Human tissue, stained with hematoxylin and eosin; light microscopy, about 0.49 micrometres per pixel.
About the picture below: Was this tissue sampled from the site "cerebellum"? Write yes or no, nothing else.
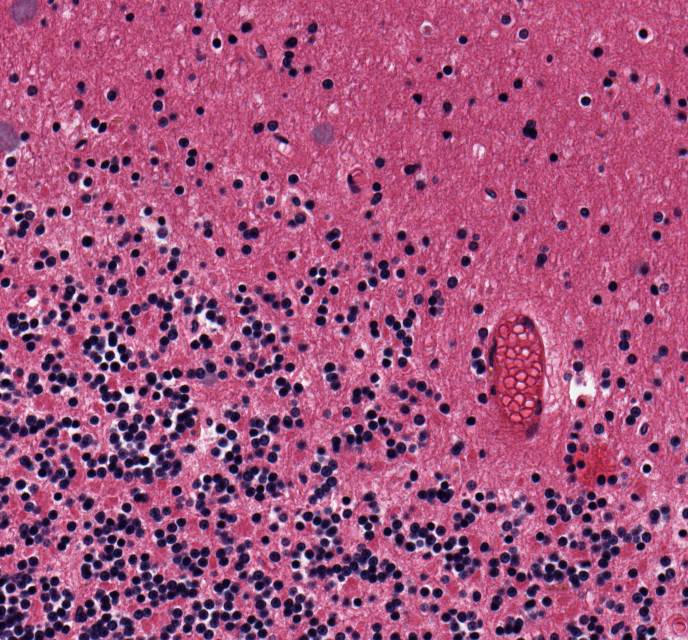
yes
